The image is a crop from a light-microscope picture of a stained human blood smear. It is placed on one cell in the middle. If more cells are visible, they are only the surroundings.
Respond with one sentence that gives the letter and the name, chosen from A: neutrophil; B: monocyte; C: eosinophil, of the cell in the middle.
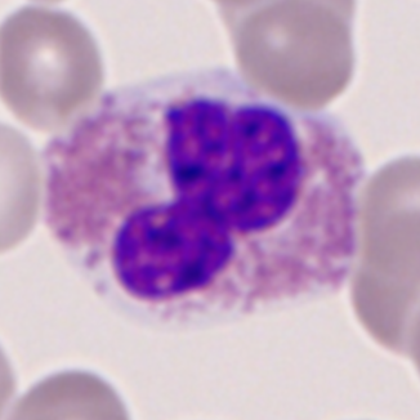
The middle of the crop contains an eosinophil, so option C is right.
